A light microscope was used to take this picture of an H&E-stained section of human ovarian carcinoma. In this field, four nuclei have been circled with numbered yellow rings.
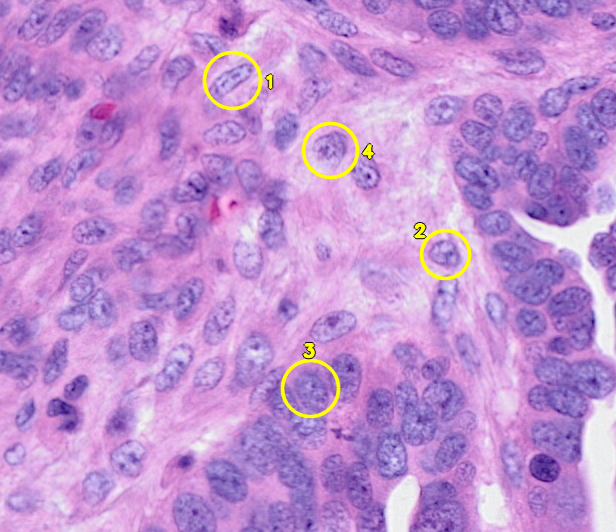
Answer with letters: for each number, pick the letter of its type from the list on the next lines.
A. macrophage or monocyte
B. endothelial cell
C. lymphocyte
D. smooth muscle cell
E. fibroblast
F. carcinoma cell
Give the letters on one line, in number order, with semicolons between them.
E; E; F; E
